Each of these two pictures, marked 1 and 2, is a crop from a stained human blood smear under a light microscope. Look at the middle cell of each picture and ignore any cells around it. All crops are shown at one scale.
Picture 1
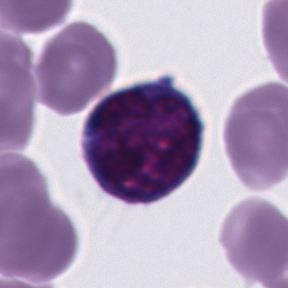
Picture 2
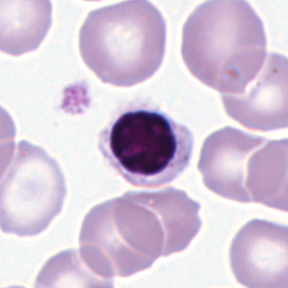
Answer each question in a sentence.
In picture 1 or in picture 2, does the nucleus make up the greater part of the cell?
It is the cell in picture 1 that is filled more by its nucleus.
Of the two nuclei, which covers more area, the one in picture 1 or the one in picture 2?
Larger is the nucleus in picture 1, at roughly 3 times the area of the other.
